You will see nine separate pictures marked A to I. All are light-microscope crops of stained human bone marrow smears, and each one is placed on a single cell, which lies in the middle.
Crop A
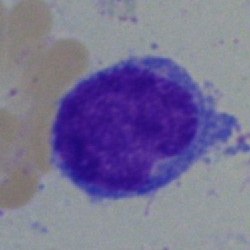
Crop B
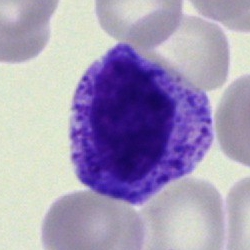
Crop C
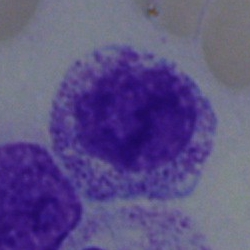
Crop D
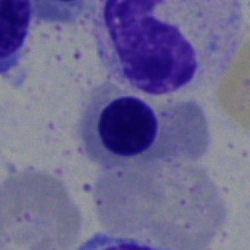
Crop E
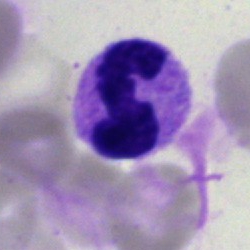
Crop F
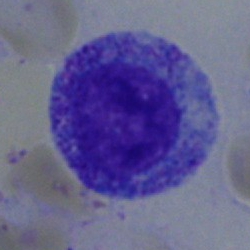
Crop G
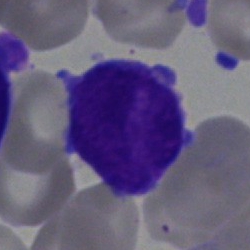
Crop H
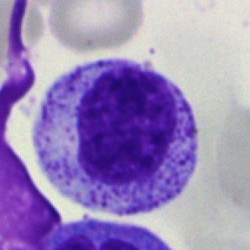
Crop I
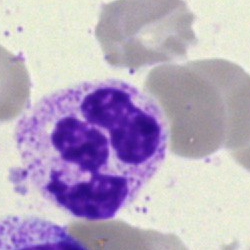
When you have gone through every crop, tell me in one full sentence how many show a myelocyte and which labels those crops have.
To sum up, four crops show myelocytes: B, C, F and H.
